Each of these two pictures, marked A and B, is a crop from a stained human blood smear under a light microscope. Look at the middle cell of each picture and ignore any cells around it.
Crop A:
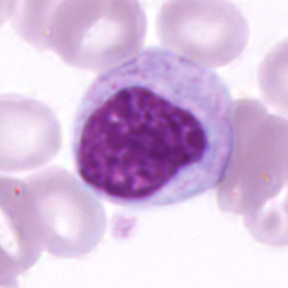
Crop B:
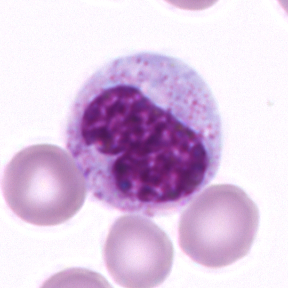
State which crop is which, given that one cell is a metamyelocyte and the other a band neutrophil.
A: metamyelocyte
B: band neutrophil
